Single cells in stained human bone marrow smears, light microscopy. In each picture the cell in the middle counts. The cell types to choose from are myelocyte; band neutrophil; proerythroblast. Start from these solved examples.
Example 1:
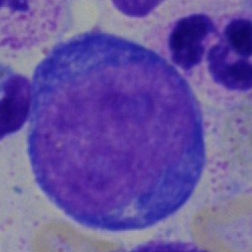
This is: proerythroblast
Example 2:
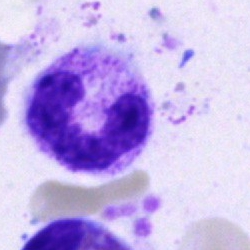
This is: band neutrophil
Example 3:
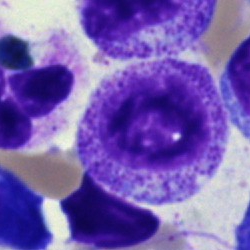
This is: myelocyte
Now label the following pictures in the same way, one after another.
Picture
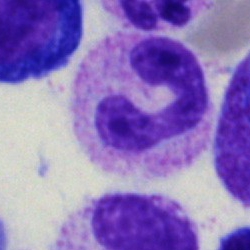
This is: band neutrophil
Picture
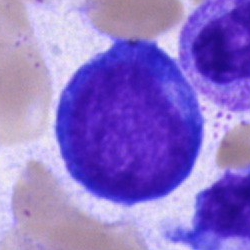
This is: proerythroblast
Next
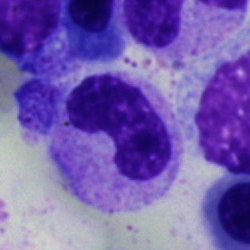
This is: band neutrophil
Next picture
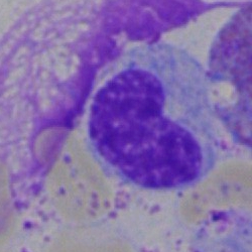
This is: band neutrophil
